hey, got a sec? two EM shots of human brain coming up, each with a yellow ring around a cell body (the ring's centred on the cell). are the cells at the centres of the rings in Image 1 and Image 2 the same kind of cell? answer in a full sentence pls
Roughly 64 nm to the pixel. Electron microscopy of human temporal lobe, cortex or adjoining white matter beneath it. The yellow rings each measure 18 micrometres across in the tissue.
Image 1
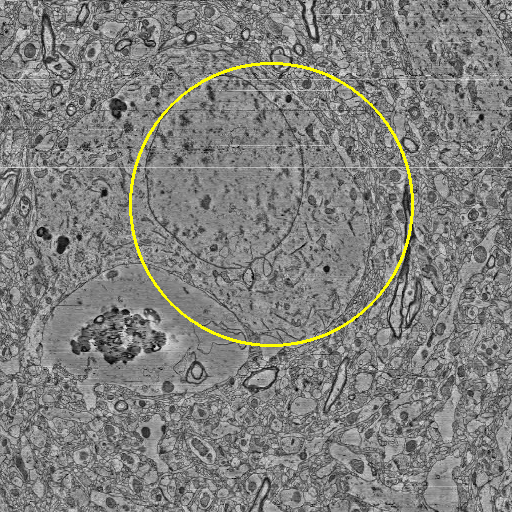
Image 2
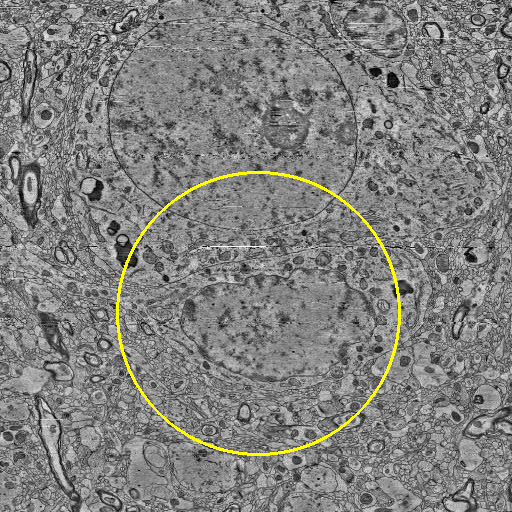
No, they are two kinds of cell.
